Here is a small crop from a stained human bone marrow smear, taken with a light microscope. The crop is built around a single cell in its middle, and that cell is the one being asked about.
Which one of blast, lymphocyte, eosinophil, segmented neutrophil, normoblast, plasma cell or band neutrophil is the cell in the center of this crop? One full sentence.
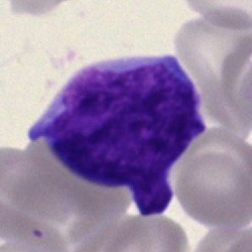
The cell at the central position in this crop is a blast.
